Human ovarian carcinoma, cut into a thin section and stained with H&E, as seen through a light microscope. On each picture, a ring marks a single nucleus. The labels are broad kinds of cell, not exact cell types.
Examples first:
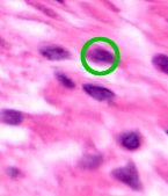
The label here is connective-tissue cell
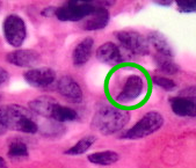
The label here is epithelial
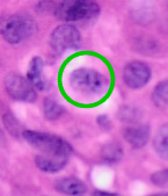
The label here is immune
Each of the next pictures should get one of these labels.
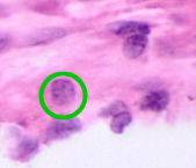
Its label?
immune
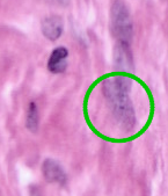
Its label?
connective-tissue cell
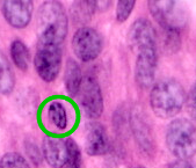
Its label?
immune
